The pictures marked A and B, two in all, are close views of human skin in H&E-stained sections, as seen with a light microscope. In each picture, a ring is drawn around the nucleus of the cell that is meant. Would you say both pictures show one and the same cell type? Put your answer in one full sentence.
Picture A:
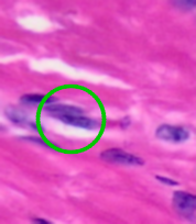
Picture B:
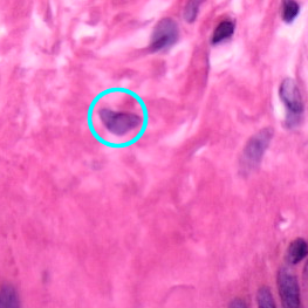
No, picture A shows an endothelial cell and picture B shows a fibroblast.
